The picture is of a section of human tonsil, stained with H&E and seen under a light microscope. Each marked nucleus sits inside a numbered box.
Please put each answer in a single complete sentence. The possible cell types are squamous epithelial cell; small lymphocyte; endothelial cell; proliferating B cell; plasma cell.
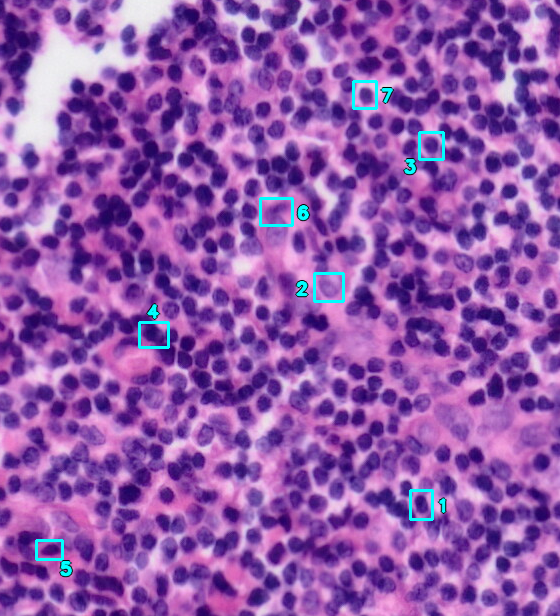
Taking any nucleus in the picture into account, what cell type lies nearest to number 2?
The cell nearest to number 2 is an endothelial cell.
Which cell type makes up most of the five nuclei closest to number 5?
Of the five nuclei nearest to number 5, most belong to endothelial cells.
